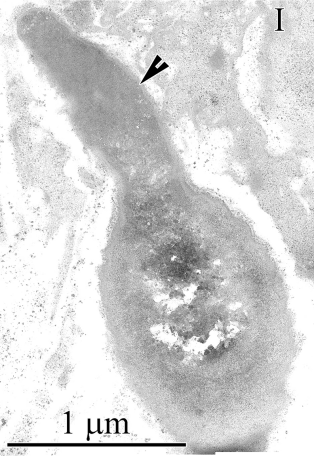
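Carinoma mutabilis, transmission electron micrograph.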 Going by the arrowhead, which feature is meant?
Extruded core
